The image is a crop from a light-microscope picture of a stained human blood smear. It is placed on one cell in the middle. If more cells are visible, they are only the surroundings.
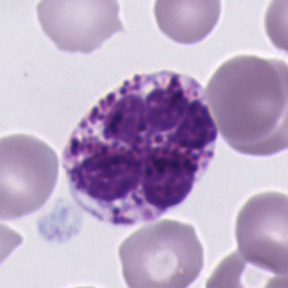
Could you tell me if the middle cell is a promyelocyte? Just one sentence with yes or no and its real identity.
No, the central cell is reported as a basophil rather than as a promyelocyte.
